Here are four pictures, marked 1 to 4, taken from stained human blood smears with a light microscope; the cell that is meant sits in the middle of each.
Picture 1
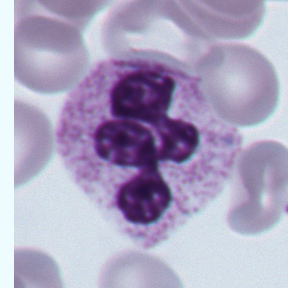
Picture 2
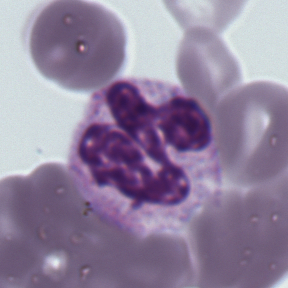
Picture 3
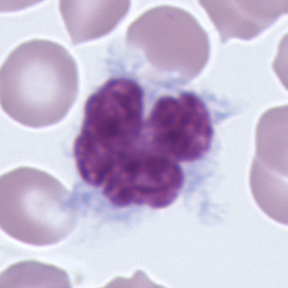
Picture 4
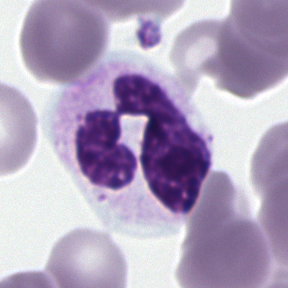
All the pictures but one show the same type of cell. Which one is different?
3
